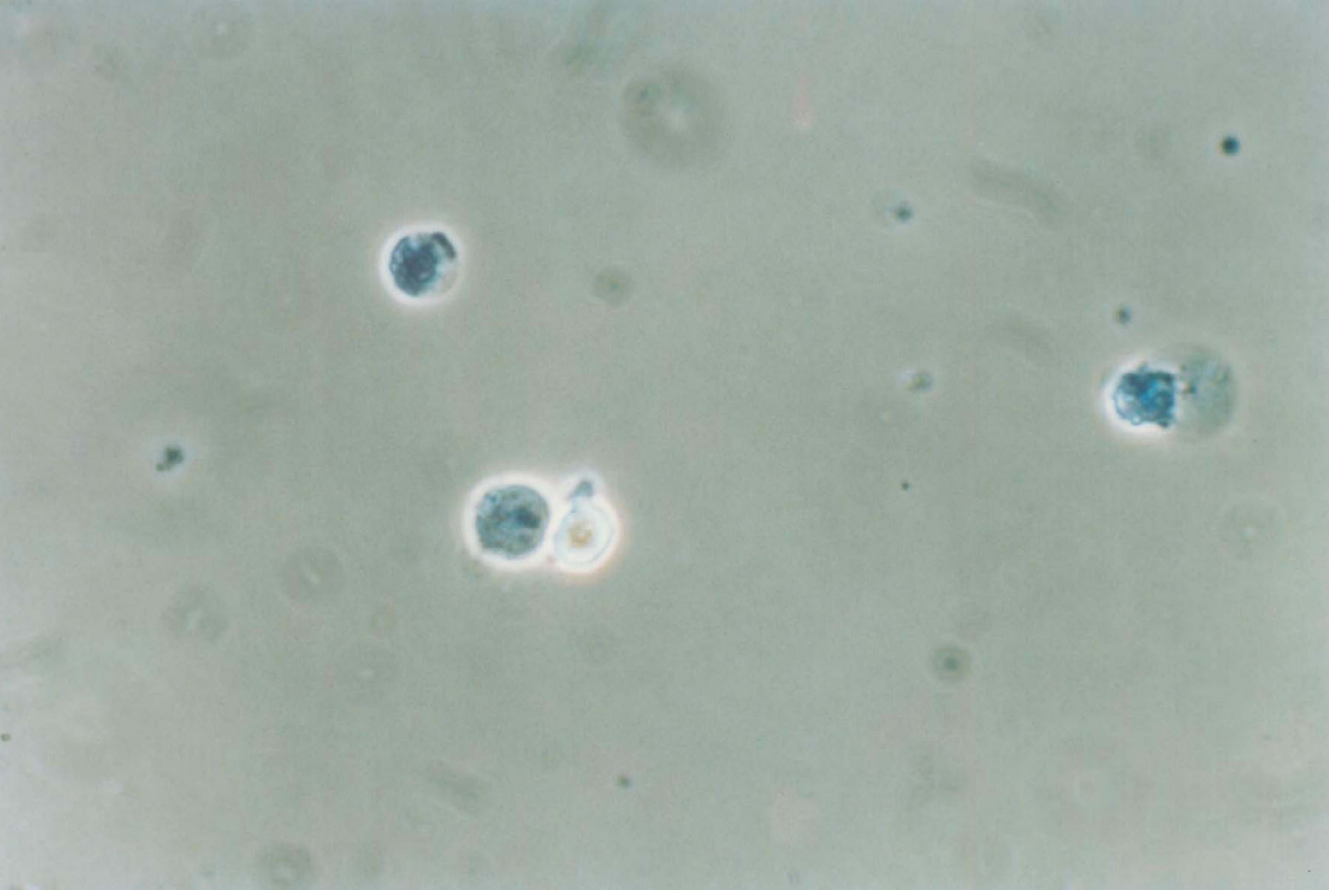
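Three round cells have taken up the blue dye, their interiors mottled dark blue within a bright phase halo. In the centre, a smaller unstained cell with a bright rim and a pale yellowish centre sits directly against one of the blue cells, the two forming a tight conjugate.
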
